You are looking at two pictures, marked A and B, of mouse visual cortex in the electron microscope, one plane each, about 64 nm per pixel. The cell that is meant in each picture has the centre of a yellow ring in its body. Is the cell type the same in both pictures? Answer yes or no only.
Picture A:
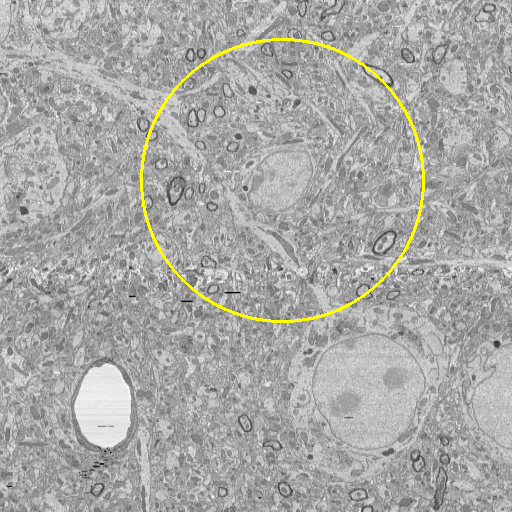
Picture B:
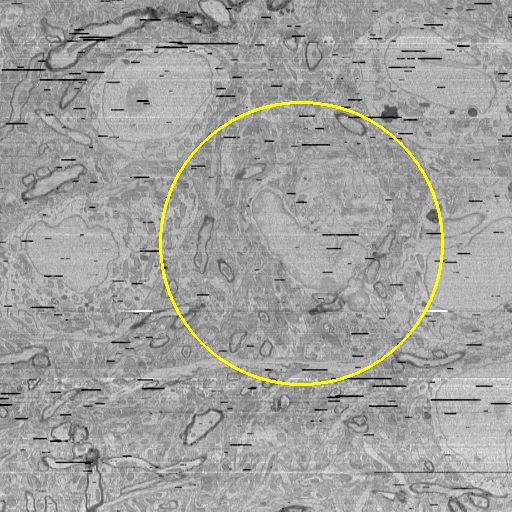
yes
